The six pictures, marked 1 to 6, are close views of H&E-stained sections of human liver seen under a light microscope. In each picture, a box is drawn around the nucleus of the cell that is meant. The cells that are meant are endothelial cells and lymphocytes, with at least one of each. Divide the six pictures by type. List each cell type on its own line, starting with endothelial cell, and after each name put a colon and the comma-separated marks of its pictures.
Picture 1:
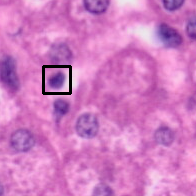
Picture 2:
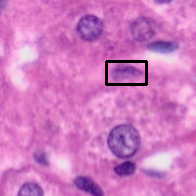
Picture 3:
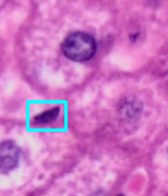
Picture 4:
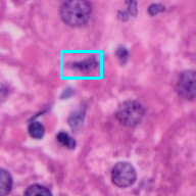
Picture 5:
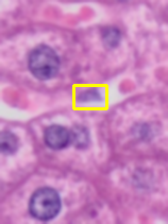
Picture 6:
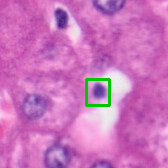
endothelial cell: 2, 3, 4, 5
lymphocyte: 1, 6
